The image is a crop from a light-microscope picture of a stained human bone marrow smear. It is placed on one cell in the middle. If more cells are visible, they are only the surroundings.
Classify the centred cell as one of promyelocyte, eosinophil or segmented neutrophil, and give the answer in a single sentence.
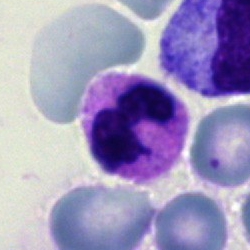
The cell under consideration, at the middle of the crop, is a segmented neutrophil.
